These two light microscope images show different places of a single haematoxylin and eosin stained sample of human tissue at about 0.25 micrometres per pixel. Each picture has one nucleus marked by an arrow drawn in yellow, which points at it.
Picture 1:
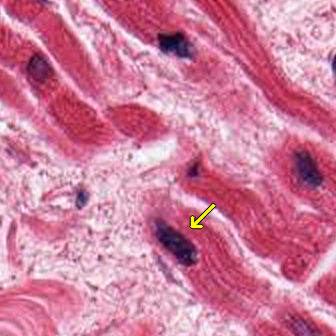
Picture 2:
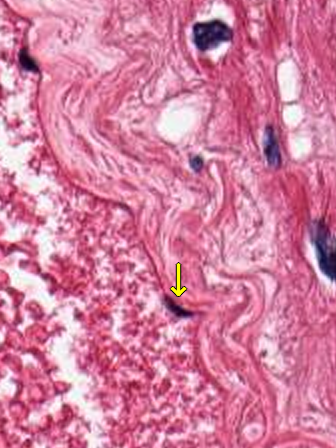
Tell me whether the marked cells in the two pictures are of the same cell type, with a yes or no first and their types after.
No, the first is a cardiomyocyte and the second an endothelial cell.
